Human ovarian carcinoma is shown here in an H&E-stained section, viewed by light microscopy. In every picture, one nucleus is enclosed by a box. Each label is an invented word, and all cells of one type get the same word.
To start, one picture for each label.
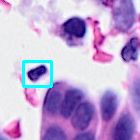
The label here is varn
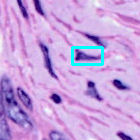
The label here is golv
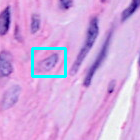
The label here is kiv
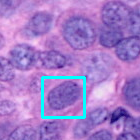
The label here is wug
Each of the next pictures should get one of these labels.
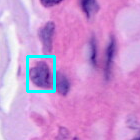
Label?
kiv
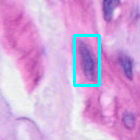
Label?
kiv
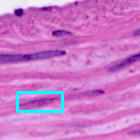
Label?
kiv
